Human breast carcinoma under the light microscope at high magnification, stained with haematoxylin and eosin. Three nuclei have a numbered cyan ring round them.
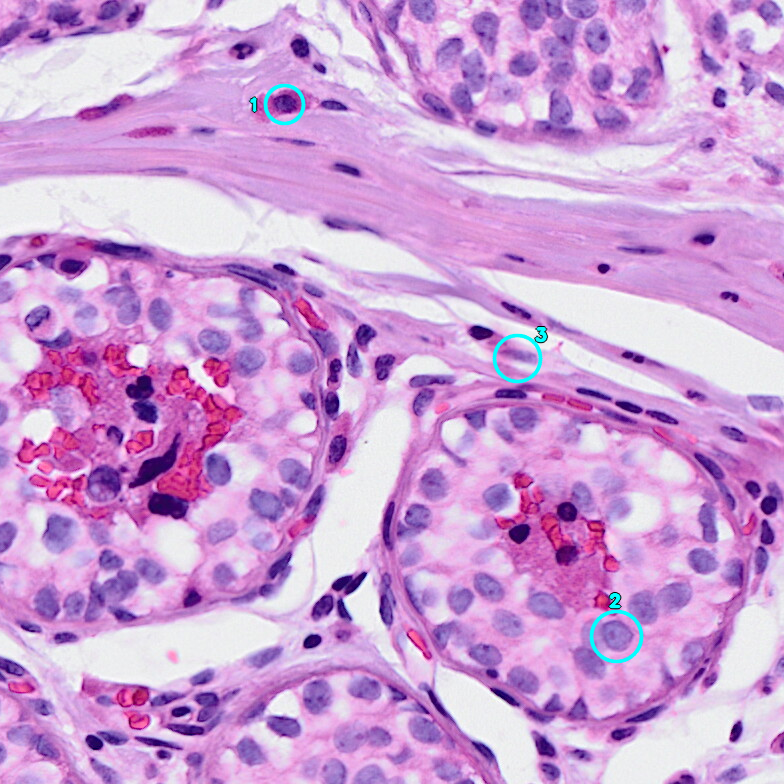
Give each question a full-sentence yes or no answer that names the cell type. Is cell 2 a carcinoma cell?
Yes. The cell carrying number 2 is a carcinoma cell.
